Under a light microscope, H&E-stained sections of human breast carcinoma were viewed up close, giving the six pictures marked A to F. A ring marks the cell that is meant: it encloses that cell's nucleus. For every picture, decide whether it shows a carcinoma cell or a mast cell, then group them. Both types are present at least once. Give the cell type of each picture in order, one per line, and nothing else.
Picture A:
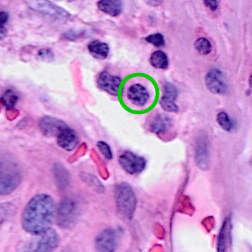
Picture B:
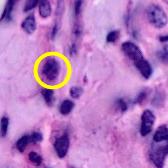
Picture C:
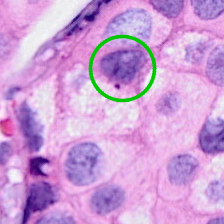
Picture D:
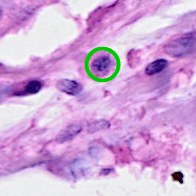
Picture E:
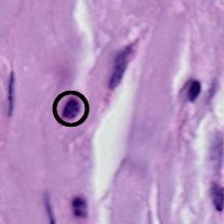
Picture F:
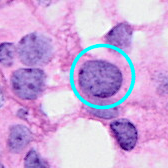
mast cell
mast cell
carcinoma cell
mast cell
mast cell
carcinoma cell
